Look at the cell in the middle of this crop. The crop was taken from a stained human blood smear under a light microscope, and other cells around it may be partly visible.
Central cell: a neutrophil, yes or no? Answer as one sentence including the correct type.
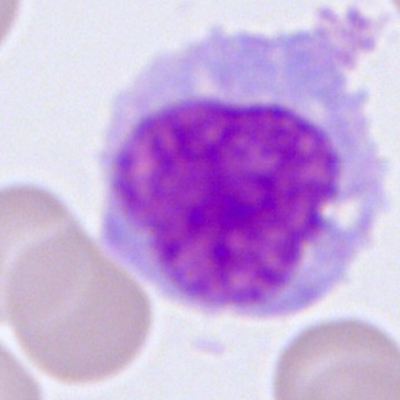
No, the cell at the center of this crop is a monocyte instead of a neutrophil.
